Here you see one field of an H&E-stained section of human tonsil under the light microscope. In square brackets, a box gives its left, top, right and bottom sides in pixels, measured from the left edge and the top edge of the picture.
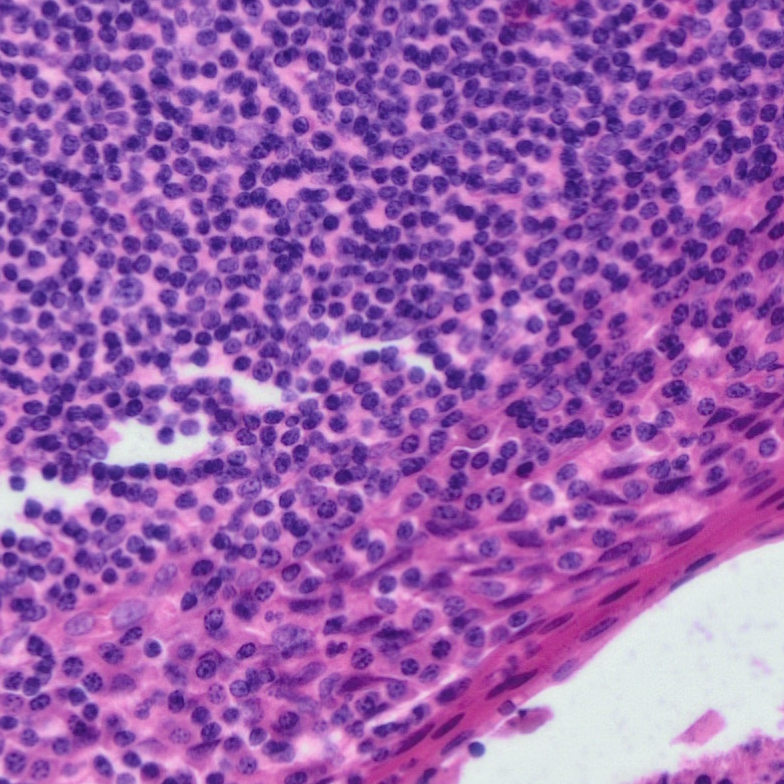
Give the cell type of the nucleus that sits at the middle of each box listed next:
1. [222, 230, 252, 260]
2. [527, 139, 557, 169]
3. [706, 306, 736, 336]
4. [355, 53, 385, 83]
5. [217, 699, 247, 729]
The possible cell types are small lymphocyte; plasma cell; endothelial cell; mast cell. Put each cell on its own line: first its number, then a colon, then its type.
1: small lymphocyte
2: small lymphocyte
3: plasma cell
4: small lymphocyte
5: plasma cell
